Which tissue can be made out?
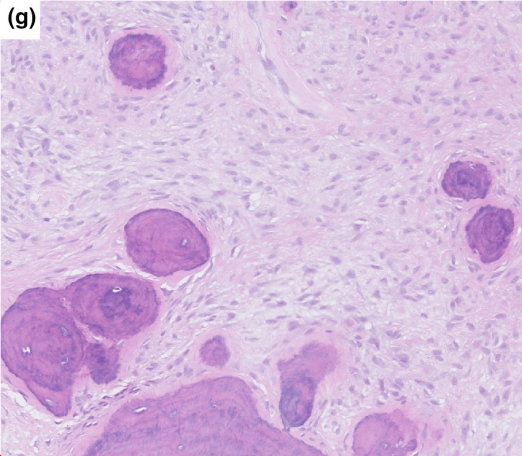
fibroblastic stroma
